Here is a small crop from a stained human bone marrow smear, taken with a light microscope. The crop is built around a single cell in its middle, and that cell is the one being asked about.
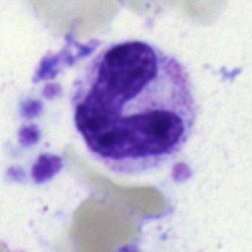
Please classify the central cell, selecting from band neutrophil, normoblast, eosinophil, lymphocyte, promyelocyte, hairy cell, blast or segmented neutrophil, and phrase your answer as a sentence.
The crop shows a band neutrophil in its centre.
